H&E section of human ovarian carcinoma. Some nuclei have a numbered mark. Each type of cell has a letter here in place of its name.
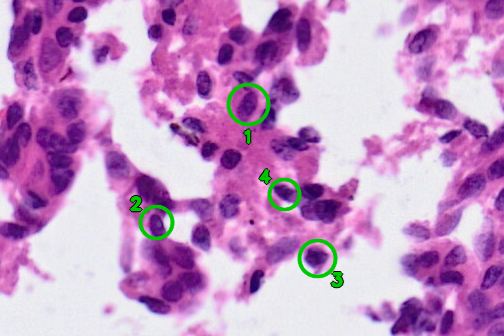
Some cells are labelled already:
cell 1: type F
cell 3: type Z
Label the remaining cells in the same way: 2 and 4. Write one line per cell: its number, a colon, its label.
2: type F
4: type F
